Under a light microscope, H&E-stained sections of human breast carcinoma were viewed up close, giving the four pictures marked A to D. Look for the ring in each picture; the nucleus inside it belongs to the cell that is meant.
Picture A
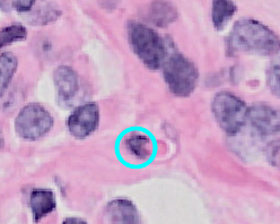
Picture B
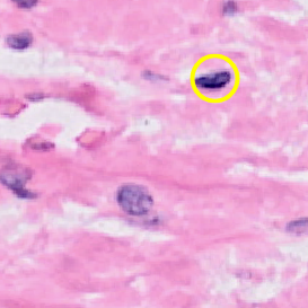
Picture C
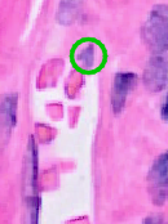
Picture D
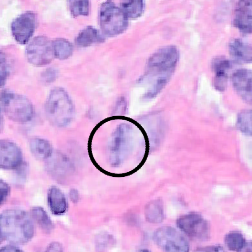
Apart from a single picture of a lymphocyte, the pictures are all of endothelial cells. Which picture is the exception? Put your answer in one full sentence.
It is picture B that shows the lymphocyte.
